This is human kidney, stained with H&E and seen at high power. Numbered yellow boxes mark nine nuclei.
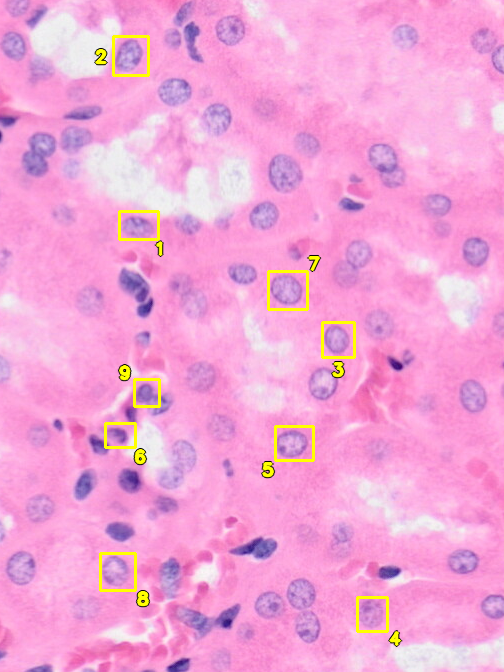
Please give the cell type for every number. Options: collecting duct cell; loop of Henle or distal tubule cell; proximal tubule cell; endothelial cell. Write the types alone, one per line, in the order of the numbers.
loop of Henle or distal tubule cell
loop of Henle or distal tubule cell
proximal tubule cell
proximal tubule cell
proximal tubule cell
collecting duct cell
proximal tubule cell
proximal tubule cell
collecting duct cell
